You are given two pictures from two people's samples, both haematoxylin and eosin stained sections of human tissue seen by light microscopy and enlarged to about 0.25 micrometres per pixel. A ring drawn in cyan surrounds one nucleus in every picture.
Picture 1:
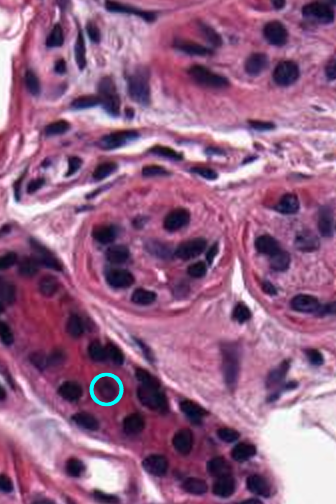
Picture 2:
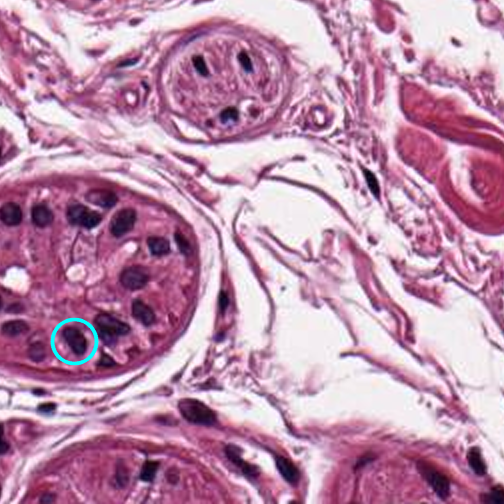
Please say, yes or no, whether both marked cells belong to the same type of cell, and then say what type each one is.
Yes, both are sweat gland cells.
